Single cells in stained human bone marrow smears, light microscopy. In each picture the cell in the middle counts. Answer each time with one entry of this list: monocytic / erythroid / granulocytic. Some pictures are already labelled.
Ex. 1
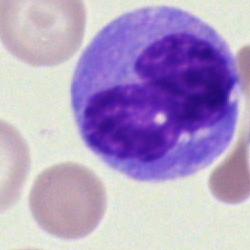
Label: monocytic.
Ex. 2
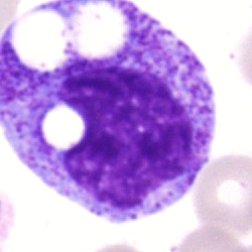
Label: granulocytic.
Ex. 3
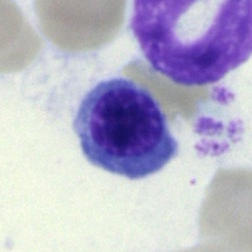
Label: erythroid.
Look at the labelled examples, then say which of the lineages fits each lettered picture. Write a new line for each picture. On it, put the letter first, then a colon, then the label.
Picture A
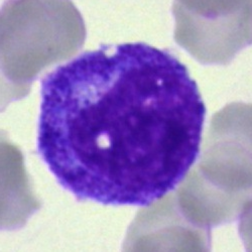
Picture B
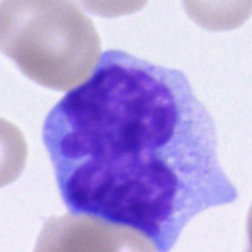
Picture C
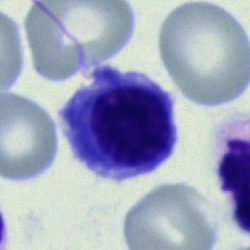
A: granulocytic.
B: monocytic.
C: erythroid.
